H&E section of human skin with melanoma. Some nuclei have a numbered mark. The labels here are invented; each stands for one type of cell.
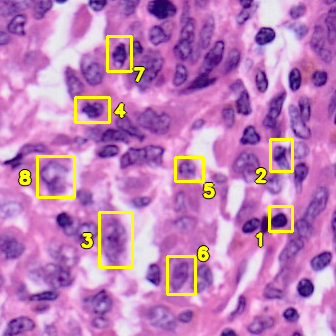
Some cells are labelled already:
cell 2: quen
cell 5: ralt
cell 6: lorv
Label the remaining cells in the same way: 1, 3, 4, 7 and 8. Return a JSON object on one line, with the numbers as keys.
{"1": "quen", "3": "lorv", "4": "quen", "7": "quen", "8": "lorv"}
